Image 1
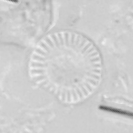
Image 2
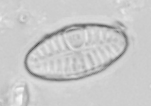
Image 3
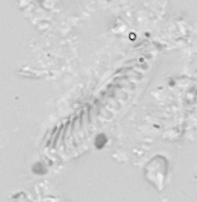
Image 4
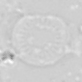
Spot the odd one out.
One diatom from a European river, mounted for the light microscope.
Picture 2 (Planothidium among Cyclotella).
